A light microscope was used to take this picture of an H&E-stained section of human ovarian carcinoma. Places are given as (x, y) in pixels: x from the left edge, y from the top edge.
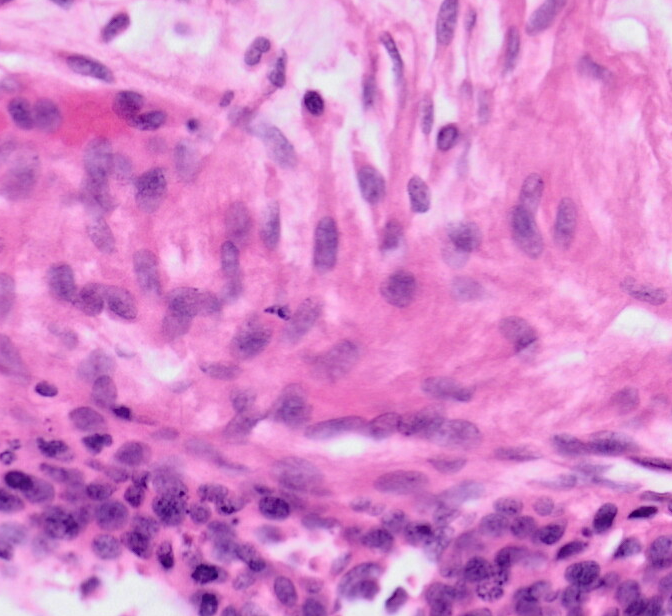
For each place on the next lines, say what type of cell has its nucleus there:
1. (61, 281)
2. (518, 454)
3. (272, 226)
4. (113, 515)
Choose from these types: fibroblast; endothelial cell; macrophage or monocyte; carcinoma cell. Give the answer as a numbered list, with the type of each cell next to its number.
1. fibroblast
2. fibroblast
3. fibroblast
4. carcinoma cell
